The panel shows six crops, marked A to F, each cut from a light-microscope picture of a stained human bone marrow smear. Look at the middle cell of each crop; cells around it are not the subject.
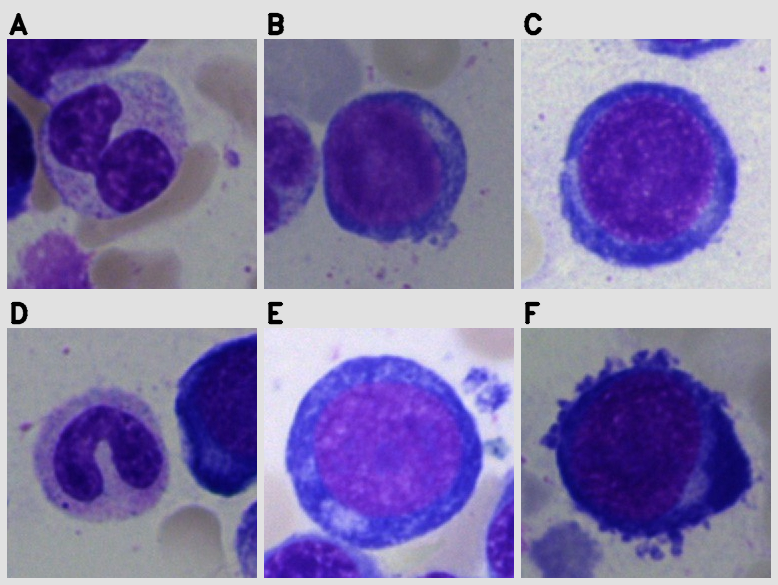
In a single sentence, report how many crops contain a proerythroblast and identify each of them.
Crops B, C, E and F, a group of four, show proerythroblasts.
